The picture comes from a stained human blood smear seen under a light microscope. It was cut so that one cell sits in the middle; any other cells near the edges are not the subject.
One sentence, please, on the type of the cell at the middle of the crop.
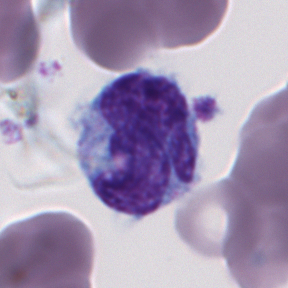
In the central position of this crop, the cell is a monocyte.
